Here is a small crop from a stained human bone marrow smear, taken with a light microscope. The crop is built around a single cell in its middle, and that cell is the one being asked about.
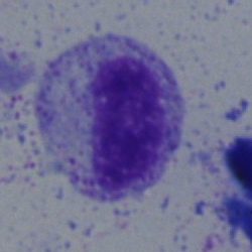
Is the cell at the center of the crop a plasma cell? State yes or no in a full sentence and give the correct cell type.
No, that is not a plasma cell; the middle cell is a myelocyte.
